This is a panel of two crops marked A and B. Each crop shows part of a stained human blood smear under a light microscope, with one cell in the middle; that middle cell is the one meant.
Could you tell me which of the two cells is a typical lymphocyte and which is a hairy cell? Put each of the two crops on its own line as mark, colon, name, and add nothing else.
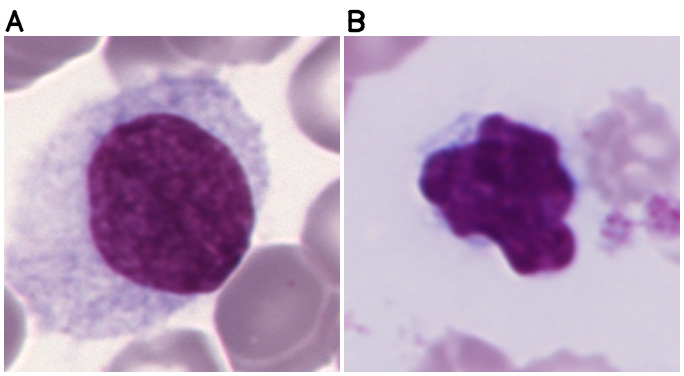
A: hairy cell
B: typical lymphocyte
